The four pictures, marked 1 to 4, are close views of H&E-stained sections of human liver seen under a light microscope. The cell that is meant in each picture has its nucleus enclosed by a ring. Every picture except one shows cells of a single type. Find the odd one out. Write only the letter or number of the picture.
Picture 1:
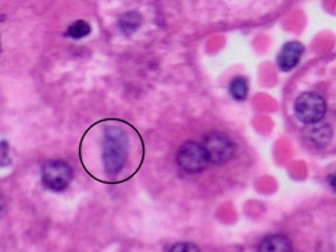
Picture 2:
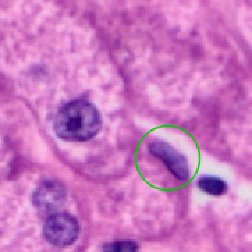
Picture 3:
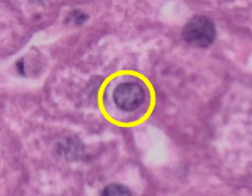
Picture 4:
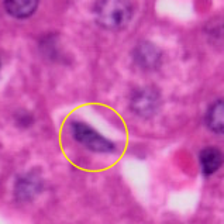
3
